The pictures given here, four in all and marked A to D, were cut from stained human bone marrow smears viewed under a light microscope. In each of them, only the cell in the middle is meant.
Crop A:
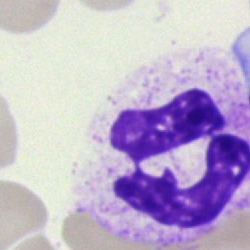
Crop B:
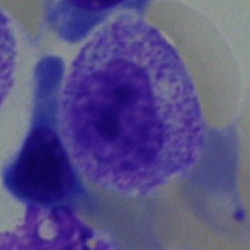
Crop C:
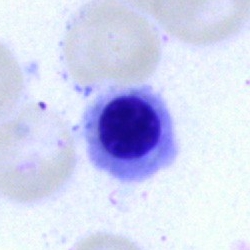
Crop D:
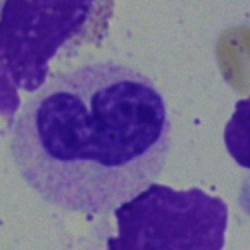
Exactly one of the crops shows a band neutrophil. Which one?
D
